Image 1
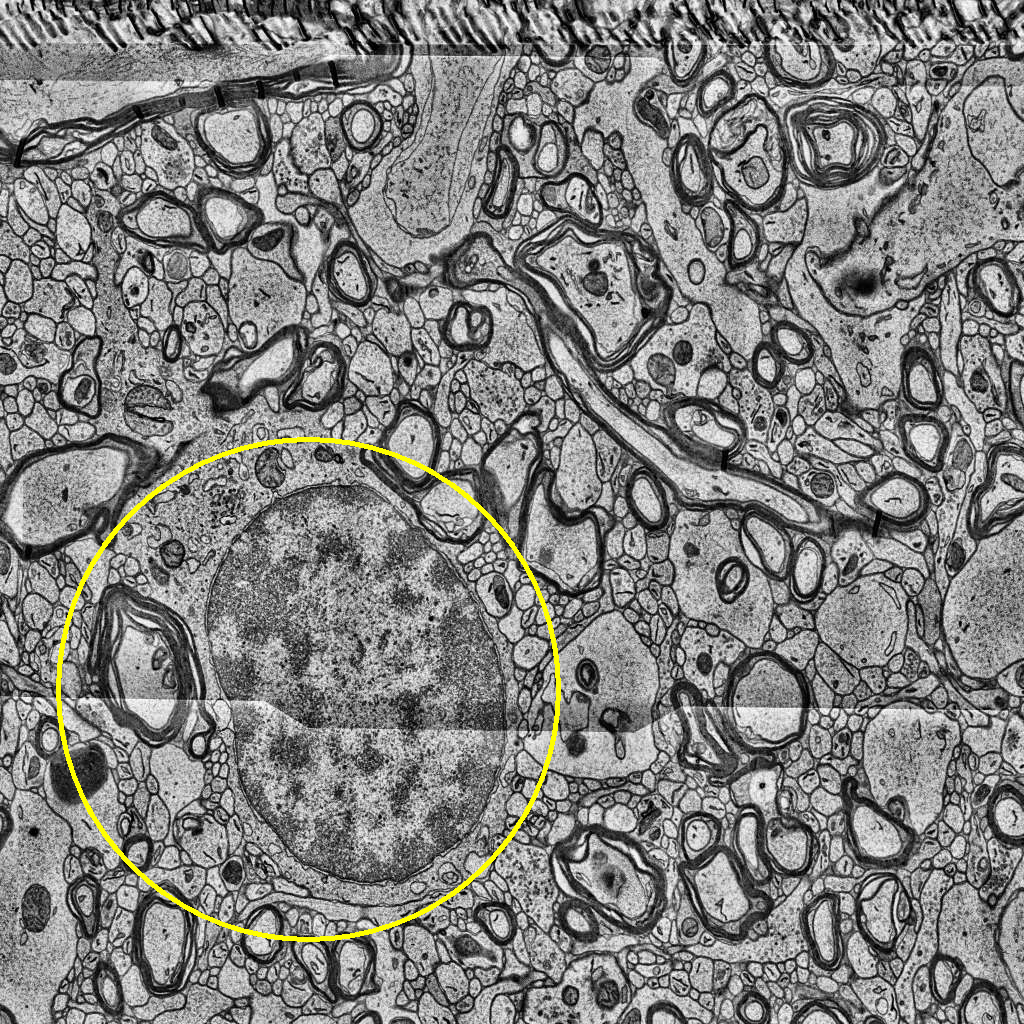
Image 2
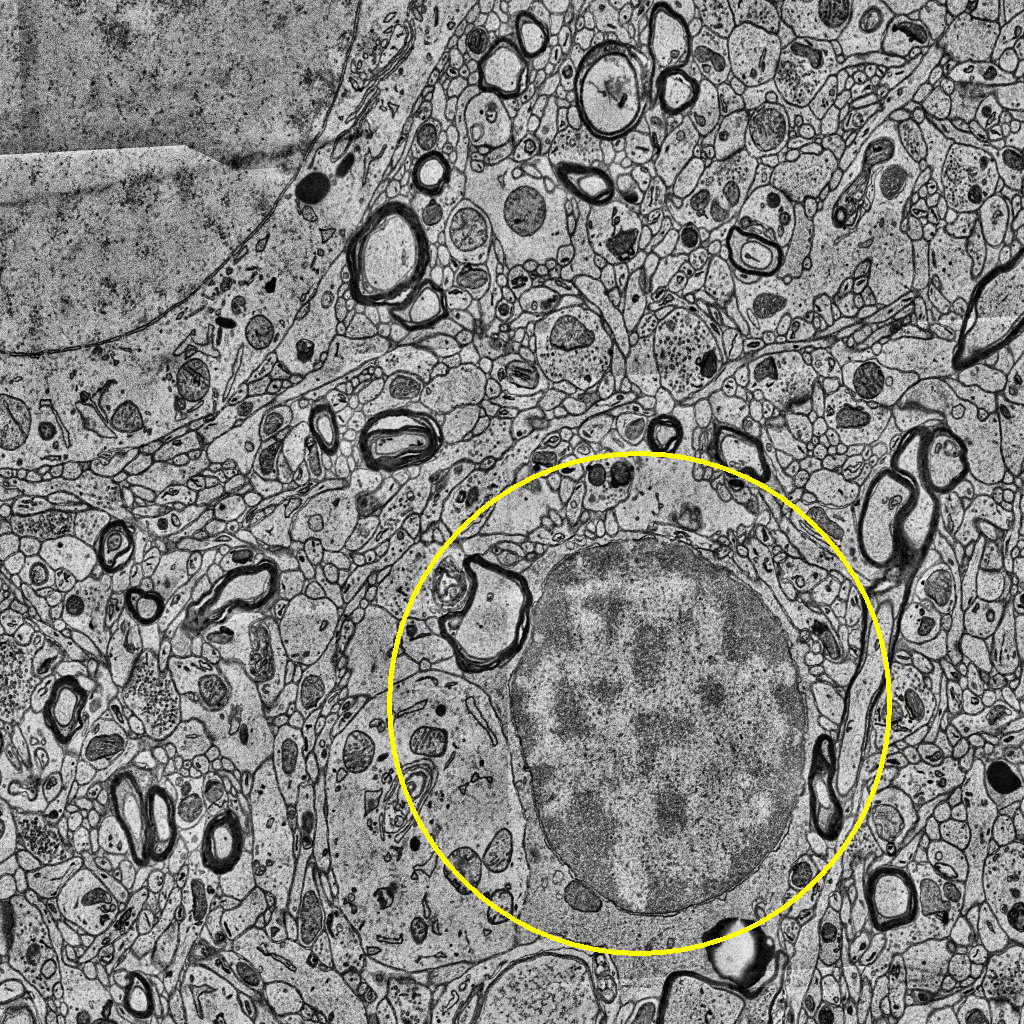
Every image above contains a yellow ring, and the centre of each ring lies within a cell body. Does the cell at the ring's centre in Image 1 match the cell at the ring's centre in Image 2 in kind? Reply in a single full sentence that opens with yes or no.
Yes, the cell at the ring's centre in Image 1 is the same kind as that in Image 2.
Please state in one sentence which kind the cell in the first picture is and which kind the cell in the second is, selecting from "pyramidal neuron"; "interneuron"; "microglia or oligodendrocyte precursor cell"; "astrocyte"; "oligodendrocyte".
Each cell, in the first picture and the second, is an oligodendrocyte.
